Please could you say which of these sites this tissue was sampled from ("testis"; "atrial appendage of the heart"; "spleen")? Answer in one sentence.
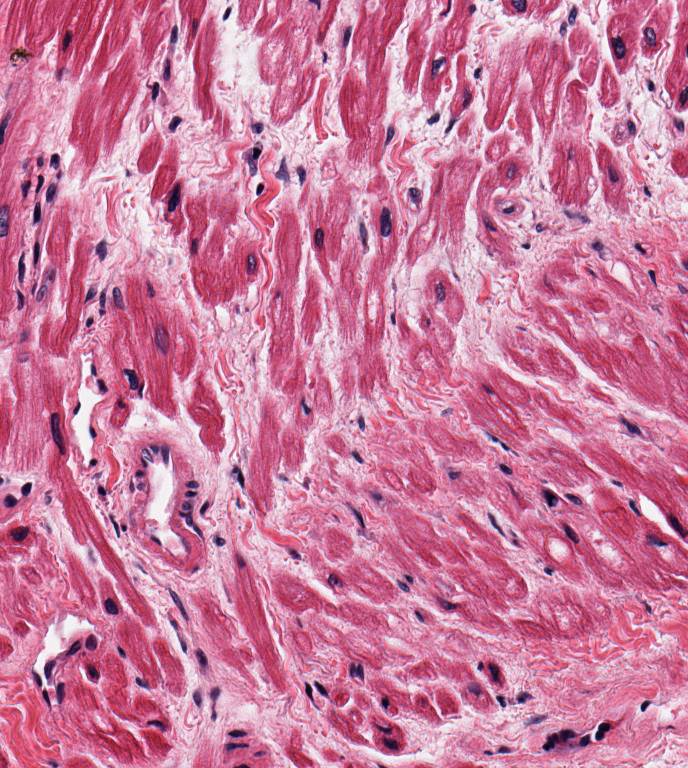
The site this tissue was sampled from is the atrial appendage of the heart.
